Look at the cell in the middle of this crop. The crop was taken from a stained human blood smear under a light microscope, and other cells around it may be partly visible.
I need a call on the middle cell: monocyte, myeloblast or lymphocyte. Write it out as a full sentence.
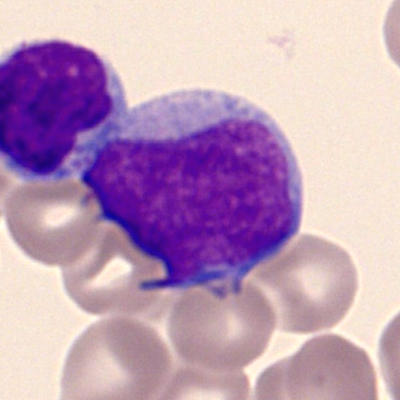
Here the cell in the middle is a myeloblast.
